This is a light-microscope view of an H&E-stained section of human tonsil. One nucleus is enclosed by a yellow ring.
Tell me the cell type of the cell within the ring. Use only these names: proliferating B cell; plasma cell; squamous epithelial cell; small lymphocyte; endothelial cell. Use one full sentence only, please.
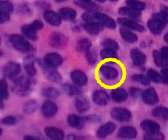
Cytologically, the cell within the ring is to be regarded as a plasma cell.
